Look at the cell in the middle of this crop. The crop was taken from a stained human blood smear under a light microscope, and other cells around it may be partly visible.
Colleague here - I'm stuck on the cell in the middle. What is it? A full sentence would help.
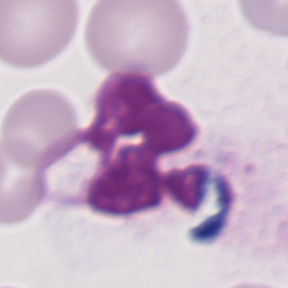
This particular crop is centered on a smudge cell.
